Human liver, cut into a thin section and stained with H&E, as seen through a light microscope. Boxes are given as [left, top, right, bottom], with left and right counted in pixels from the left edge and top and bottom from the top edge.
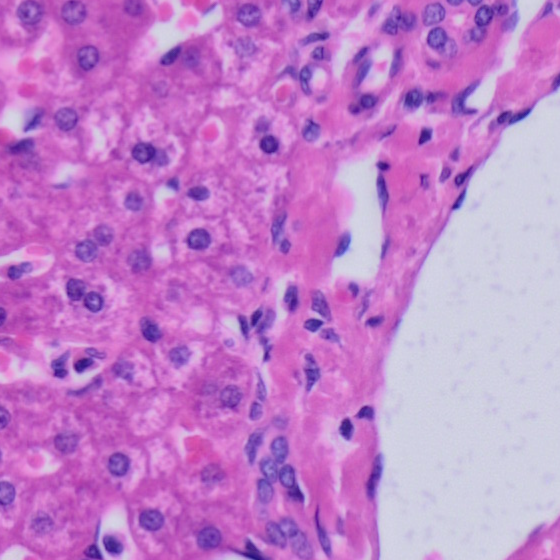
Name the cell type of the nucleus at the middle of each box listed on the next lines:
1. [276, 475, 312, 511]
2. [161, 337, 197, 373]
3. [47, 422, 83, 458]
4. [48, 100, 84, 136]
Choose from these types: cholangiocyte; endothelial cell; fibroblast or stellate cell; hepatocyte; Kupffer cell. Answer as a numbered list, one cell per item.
1. cholangiocyte
2. hepatocyte
3. hepatocyte
4. hepatocyte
